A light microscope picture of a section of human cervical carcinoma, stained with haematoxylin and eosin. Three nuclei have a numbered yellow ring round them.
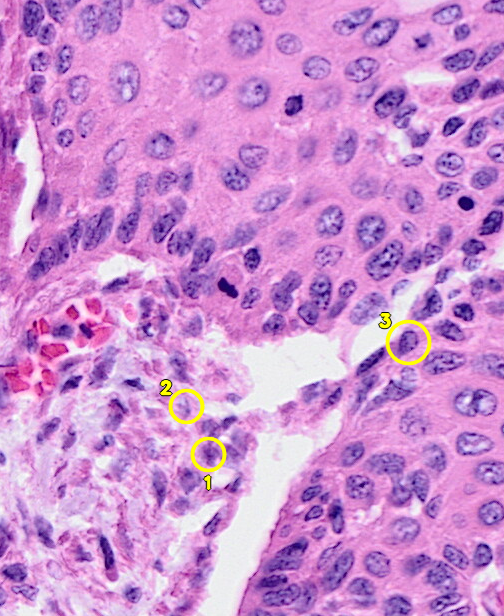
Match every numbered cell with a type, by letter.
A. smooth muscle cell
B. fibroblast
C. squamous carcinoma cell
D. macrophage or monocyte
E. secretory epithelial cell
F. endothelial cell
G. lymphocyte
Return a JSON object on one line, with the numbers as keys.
{"1": "B", "2": "B", "3": "C"}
